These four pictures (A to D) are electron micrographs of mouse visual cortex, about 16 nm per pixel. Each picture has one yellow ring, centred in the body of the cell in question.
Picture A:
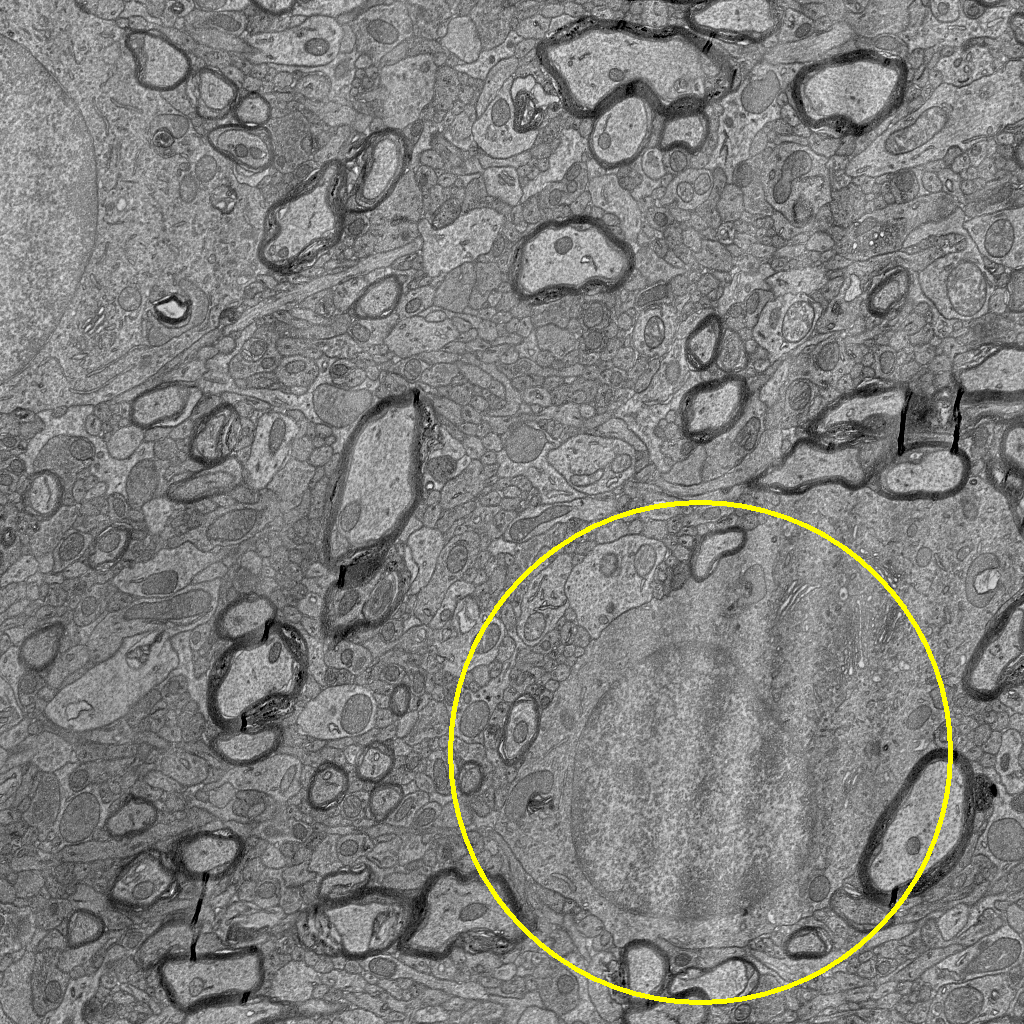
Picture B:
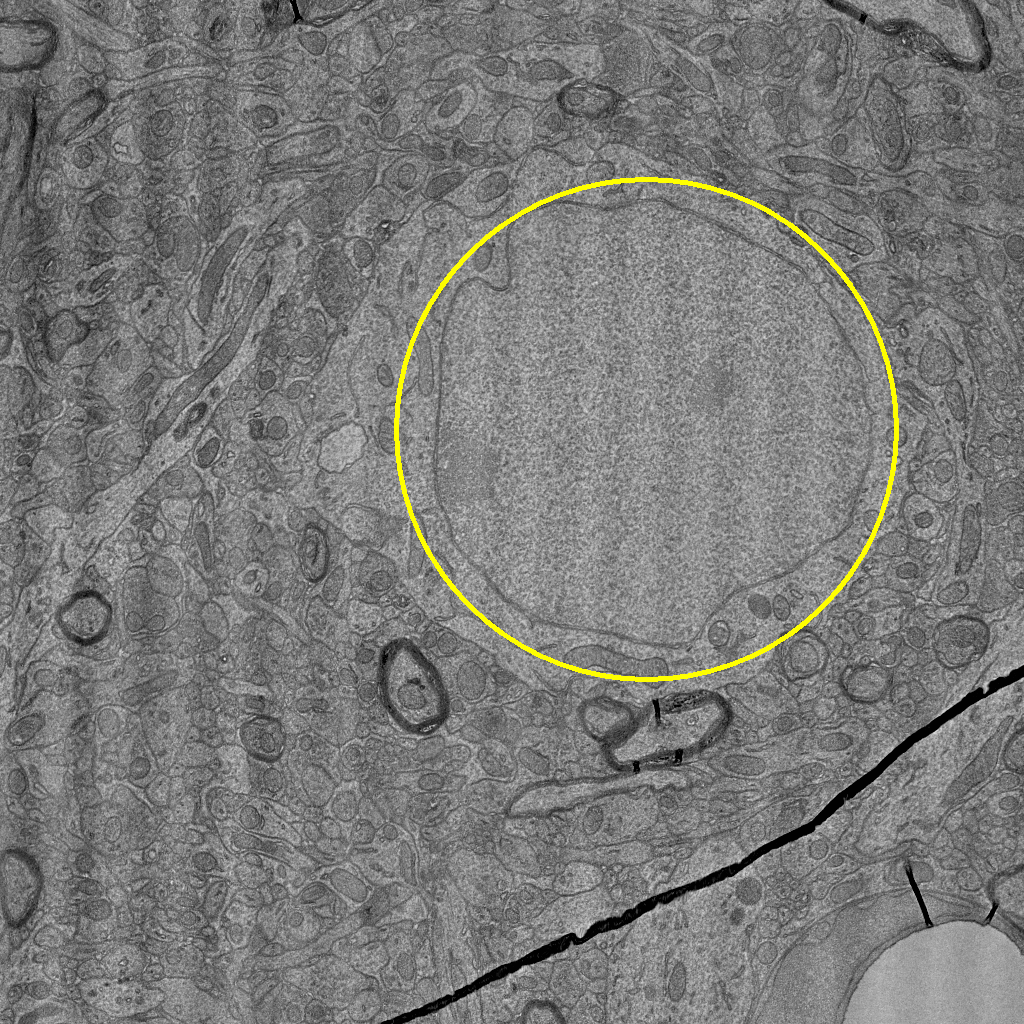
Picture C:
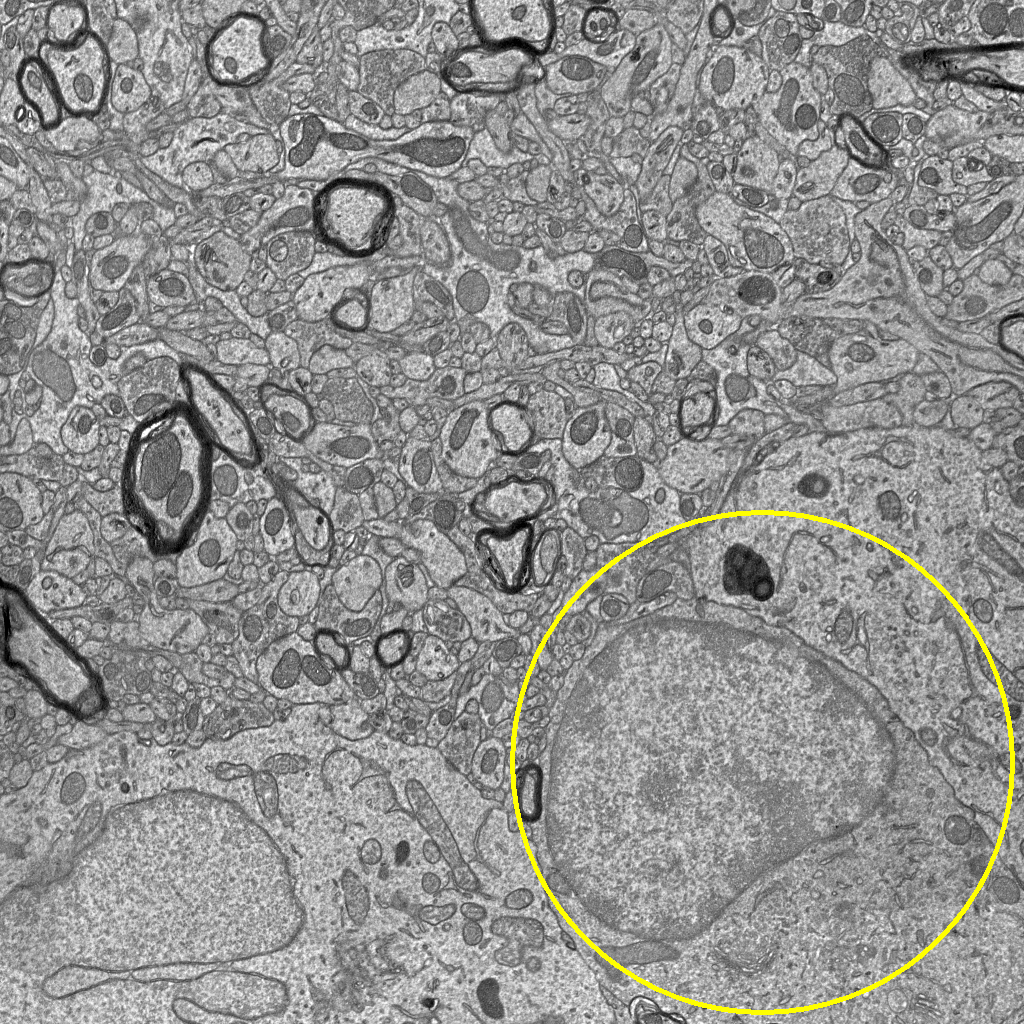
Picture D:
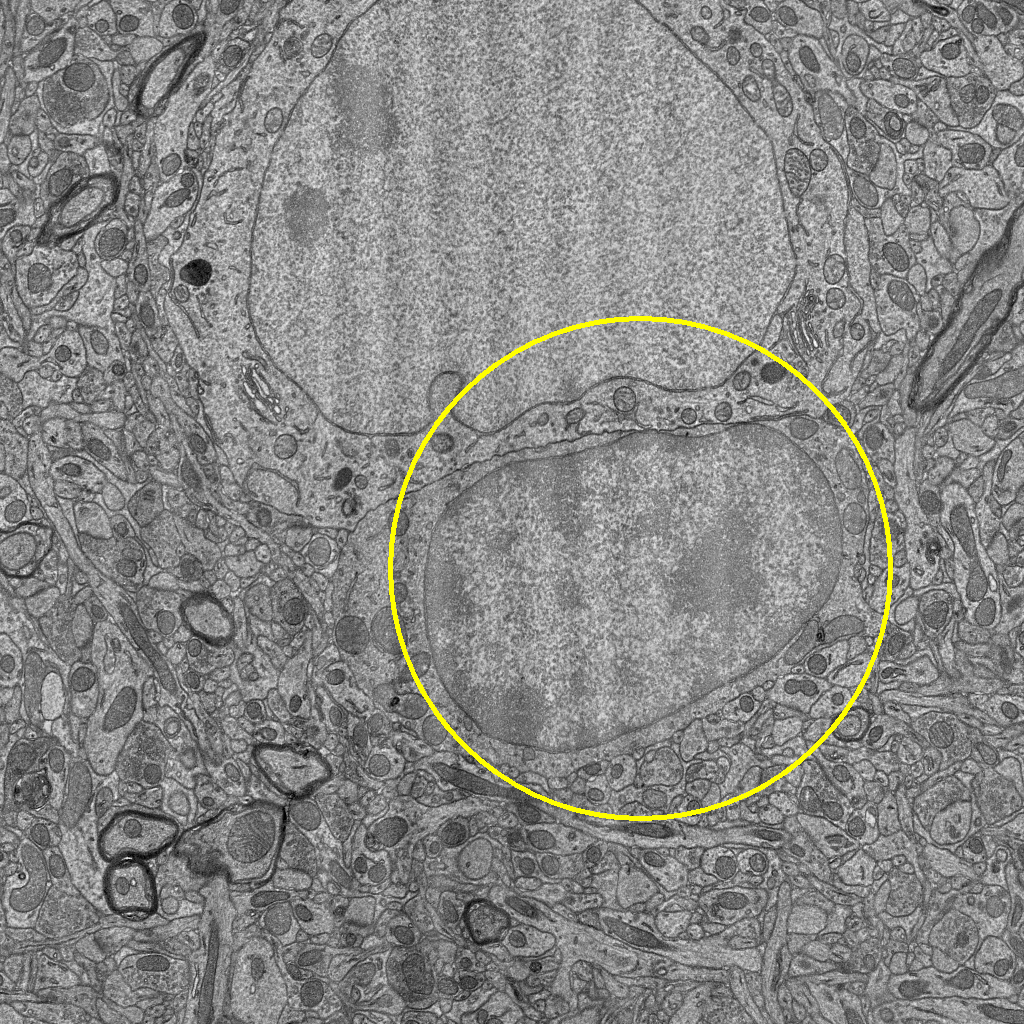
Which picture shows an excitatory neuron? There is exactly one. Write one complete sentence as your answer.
The excitatory neuron is the one in picture B.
